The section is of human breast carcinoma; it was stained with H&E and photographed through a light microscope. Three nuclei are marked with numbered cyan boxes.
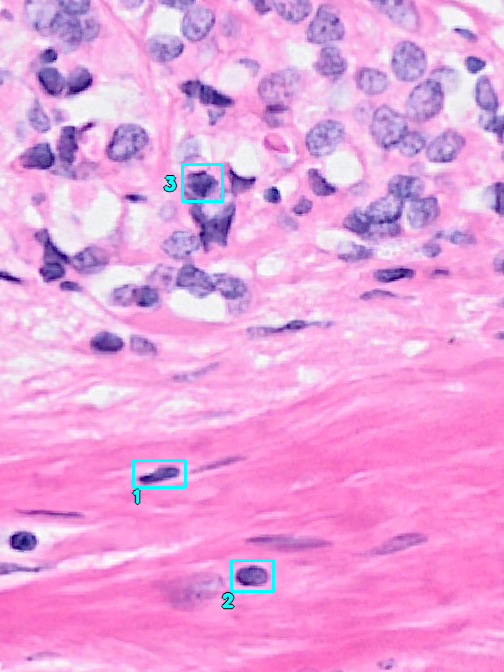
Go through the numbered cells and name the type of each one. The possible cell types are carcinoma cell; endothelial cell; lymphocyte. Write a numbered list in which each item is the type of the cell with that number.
1. lymphocyte
2. lymphocyte
3. carcinoma cell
